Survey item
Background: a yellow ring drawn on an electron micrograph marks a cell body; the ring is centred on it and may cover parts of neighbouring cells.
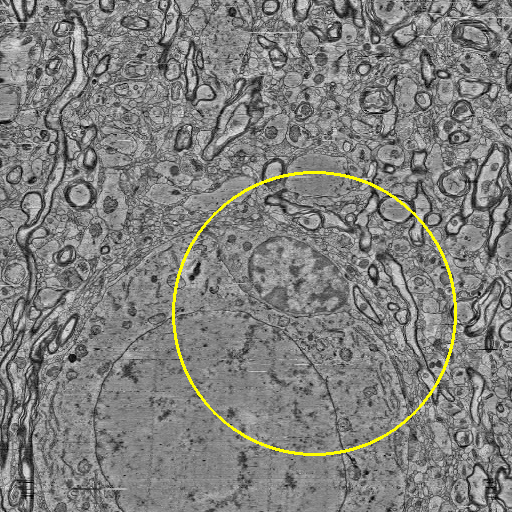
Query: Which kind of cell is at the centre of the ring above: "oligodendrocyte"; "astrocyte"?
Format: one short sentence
The cell in the middle of the ring is an oligodendrocyte.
